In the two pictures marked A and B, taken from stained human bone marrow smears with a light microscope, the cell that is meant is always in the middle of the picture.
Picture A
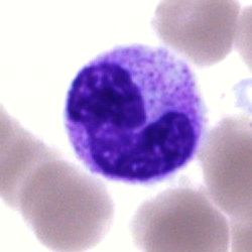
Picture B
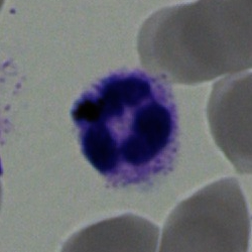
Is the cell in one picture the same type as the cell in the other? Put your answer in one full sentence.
Yes, both cells are segmented neutrophils.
